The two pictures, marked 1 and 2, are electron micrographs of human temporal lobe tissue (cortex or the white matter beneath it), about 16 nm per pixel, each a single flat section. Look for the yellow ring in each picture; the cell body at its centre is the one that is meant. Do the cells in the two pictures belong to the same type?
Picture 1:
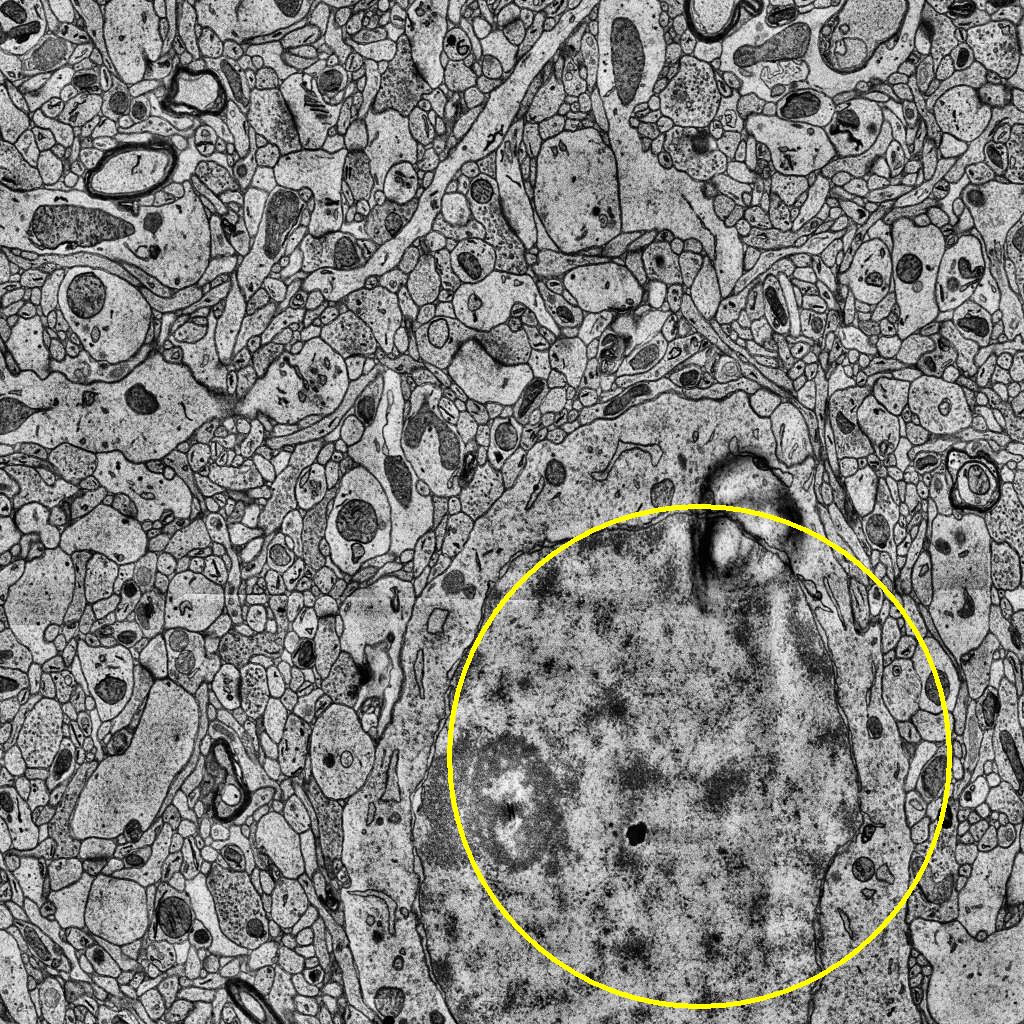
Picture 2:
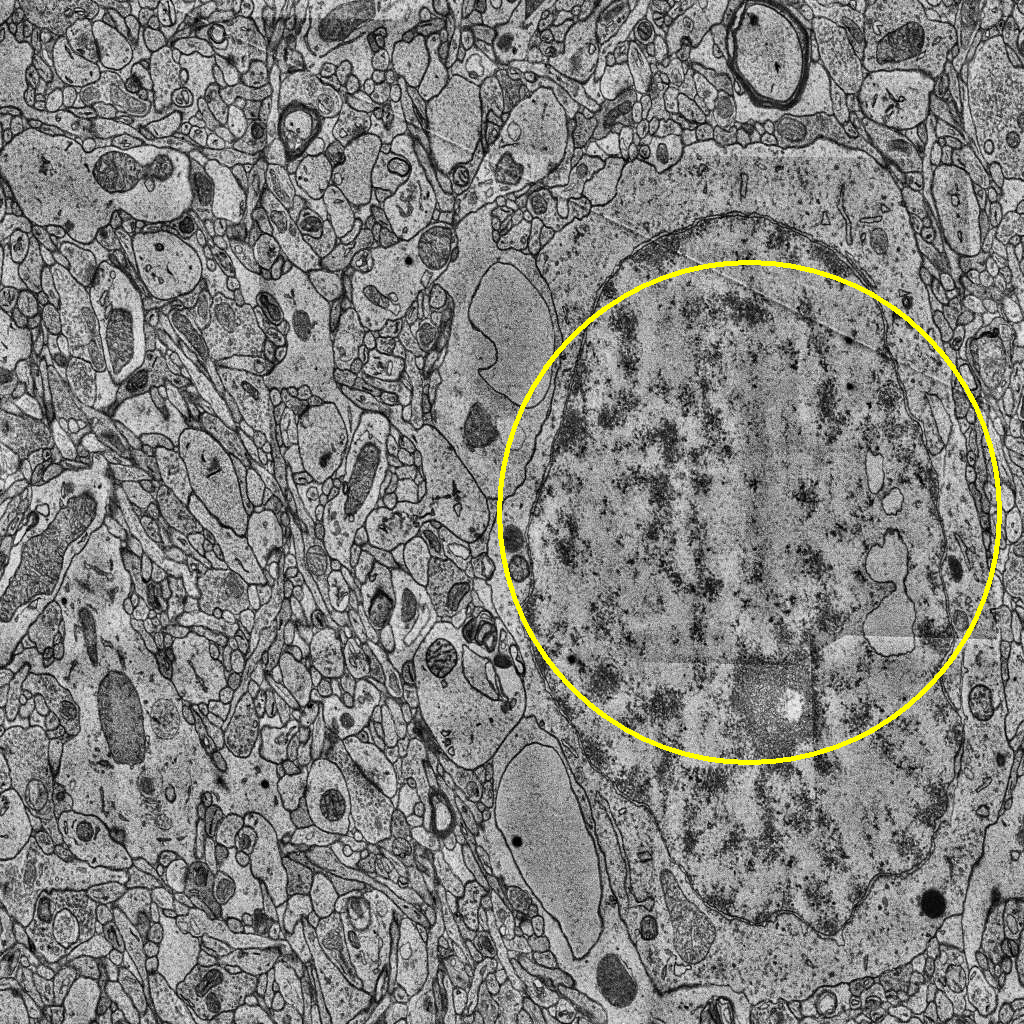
Yes, the two pictures both show interneurons.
